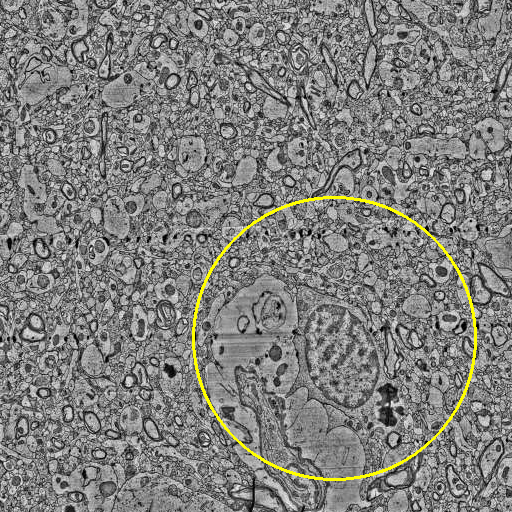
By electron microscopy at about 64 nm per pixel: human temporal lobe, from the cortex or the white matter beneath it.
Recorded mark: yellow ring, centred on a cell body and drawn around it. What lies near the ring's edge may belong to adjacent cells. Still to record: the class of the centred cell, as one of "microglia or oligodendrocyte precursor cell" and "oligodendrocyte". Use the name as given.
oligodendrocyte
